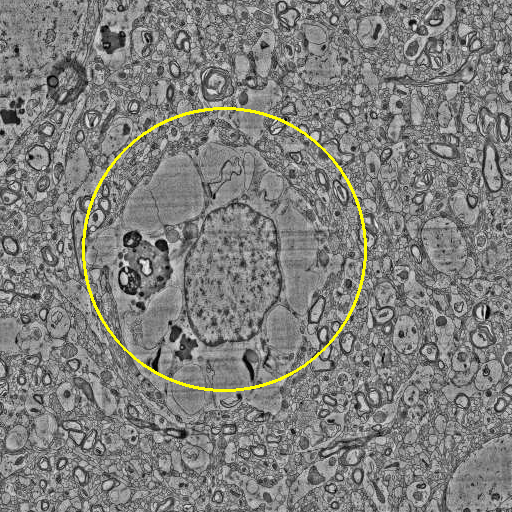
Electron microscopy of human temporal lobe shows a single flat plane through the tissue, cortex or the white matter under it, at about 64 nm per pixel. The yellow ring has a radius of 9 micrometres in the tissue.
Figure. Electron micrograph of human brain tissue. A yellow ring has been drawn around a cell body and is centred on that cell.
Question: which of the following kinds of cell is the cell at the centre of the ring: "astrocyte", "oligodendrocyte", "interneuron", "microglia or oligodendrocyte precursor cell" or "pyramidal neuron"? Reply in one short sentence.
The cell at the centre of the ring is an astrocyte.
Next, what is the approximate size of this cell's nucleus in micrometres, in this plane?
The nucleus works out at approximately 9 by 6 micrometres in this plane.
